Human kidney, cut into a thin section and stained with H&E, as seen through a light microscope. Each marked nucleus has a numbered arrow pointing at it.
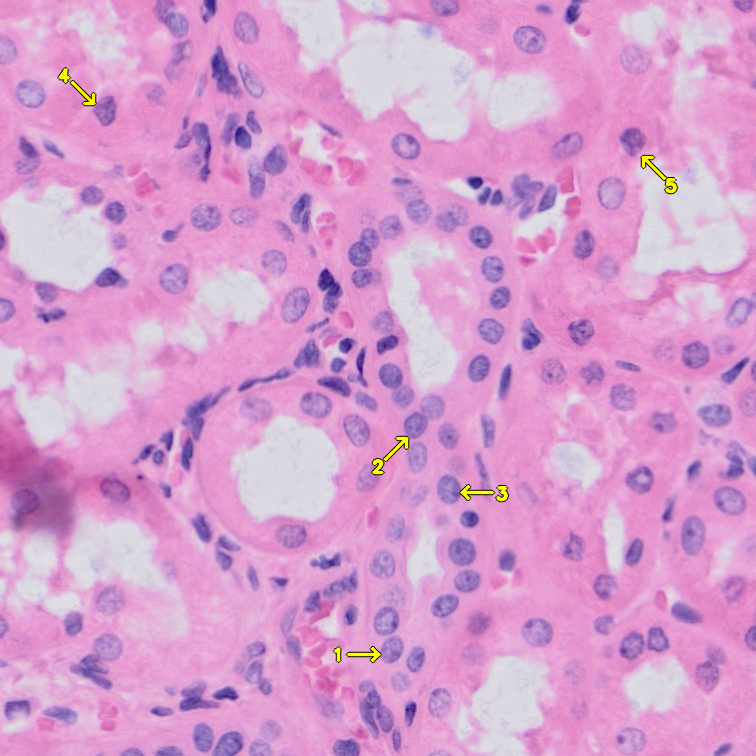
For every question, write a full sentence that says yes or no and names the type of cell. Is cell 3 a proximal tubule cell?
No, cell 3 should be classed as a collecting duct cell, not as a proximal tubule cell.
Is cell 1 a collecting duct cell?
Yes, the cell that goes by number 1 is a collecting duct cell.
